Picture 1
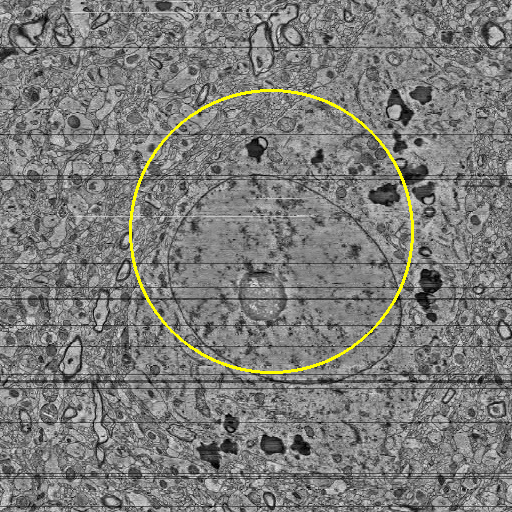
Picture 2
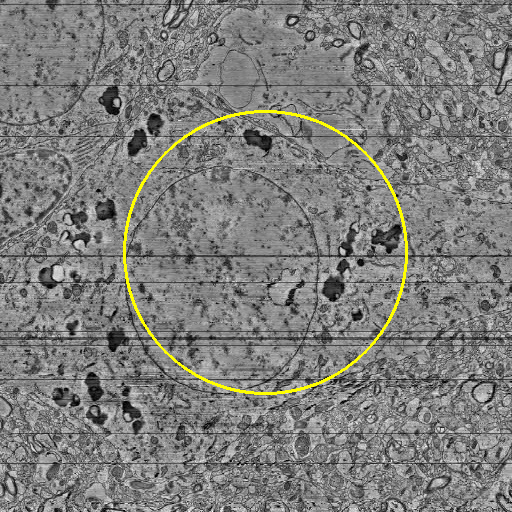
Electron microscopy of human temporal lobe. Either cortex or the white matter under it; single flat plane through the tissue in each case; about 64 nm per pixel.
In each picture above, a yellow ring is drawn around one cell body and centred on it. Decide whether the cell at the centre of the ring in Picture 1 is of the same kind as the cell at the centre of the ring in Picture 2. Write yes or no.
yes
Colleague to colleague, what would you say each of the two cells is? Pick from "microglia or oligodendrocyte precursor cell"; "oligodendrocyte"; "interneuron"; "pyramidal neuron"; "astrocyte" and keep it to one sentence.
The ring centre holds a pyramidal neuron in each of the two pictures.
